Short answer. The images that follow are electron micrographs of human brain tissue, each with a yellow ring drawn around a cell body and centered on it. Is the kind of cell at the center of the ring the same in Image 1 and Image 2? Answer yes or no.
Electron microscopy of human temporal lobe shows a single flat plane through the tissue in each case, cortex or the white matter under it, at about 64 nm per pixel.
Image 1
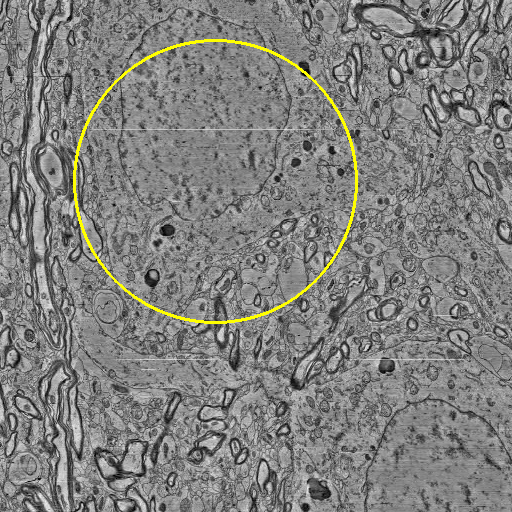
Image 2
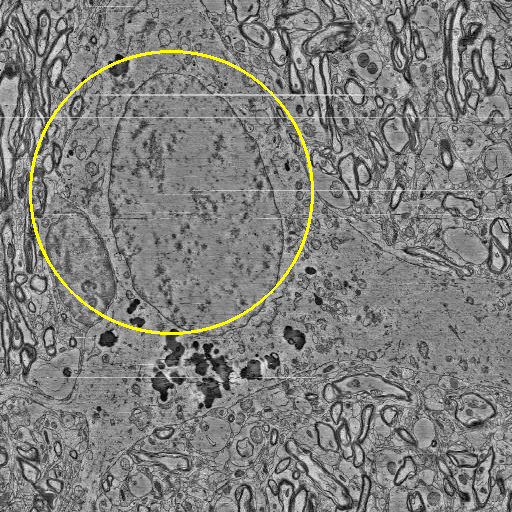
yes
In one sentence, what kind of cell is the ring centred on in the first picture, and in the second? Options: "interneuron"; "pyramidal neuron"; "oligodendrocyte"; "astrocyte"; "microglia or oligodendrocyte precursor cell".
In the first picture and in the second, the ring is centred on a pyramidal neuron.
